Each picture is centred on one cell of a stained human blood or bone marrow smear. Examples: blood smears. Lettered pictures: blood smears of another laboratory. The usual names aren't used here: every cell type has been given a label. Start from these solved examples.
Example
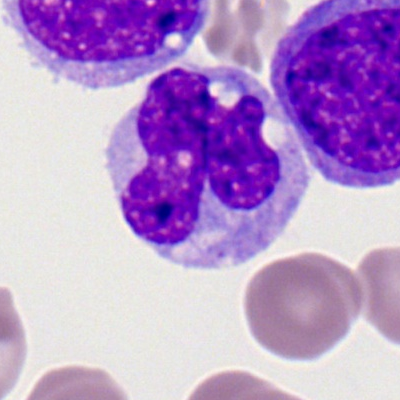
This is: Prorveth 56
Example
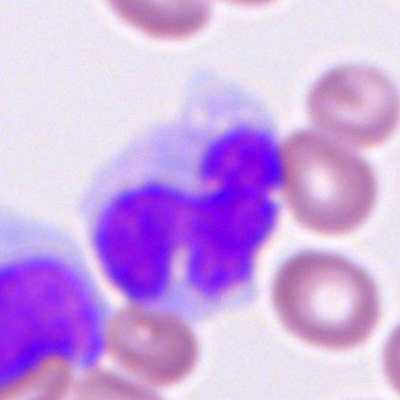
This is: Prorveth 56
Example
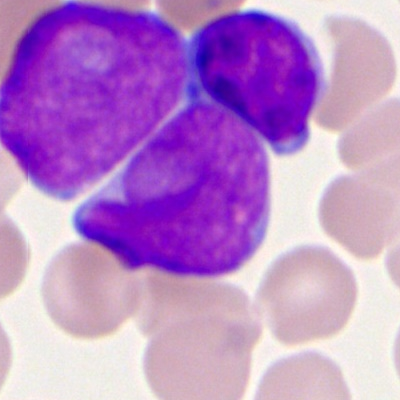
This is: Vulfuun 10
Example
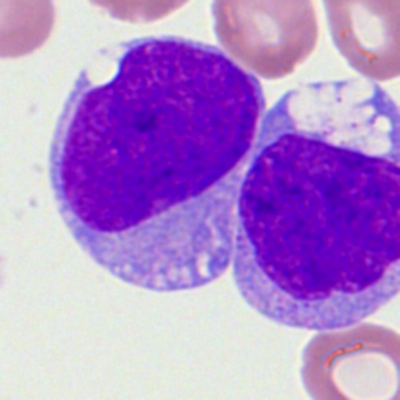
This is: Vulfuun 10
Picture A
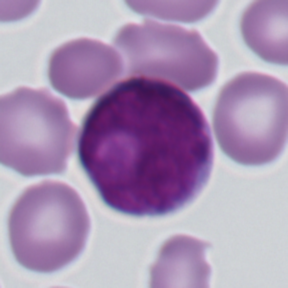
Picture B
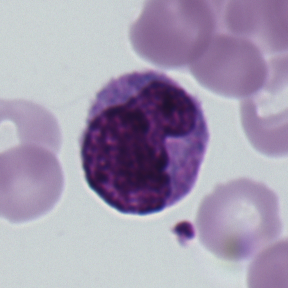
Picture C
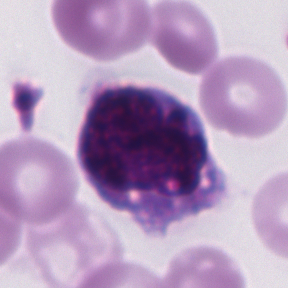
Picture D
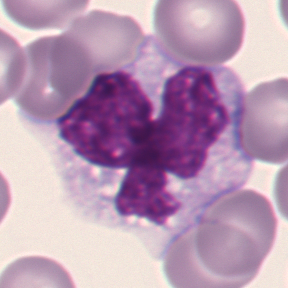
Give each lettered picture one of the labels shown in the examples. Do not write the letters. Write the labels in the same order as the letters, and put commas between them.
Vulfuun 10, Prorveth 56, Prorveth 56, Prorveth 56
